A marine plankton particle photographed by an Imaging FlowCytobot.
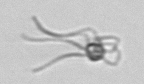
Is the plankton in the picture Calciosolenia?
No, it is Ophiaster.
